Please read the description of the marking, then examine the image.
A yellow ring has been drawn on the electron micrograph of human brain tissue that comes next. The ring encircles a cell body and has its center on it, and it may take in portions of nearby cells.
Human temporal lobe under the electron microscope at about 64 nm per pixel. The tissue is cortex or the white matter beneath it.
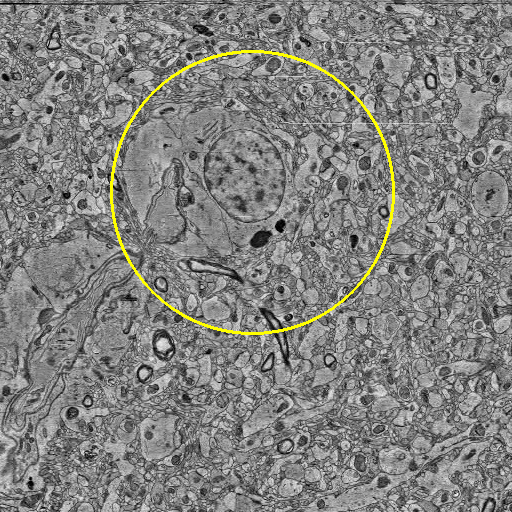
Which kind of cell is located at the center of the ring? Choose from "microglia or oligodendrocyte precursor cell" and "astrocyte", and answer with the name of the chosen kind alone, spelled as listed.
microglia or oligodendrocyte precursor cell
